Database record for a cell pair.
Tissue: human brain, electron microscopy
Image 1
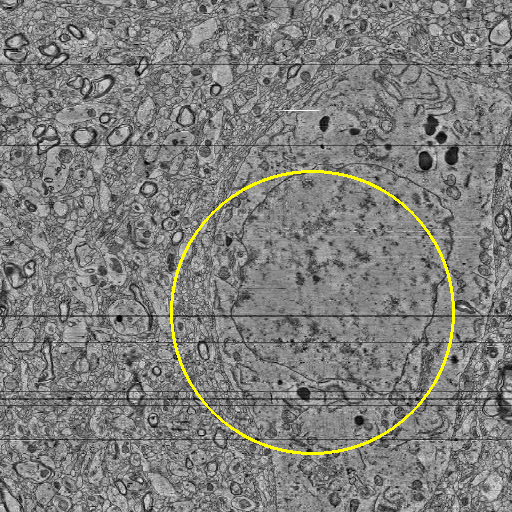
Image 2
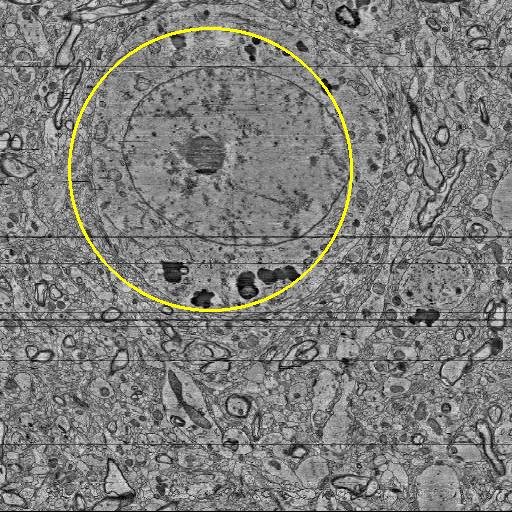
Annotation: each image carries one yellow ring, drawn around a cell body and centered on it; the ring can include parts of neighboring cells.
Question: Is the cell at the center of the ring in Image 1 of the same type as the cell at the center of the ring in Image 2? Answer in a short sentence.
Yes, the cells are of the same type.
